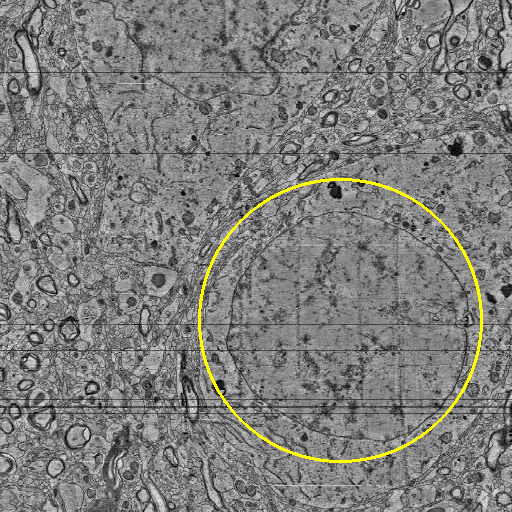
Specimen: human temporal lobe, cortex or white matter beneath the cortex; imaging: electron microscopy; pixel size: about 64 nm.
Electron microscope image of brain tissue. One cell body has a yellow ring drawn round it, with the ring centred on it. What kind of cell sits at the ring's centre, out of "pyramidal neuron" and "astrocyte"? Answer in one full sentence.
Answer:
It is a pyramidal neuron whose cell body sits at the centre of the yellow ring.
